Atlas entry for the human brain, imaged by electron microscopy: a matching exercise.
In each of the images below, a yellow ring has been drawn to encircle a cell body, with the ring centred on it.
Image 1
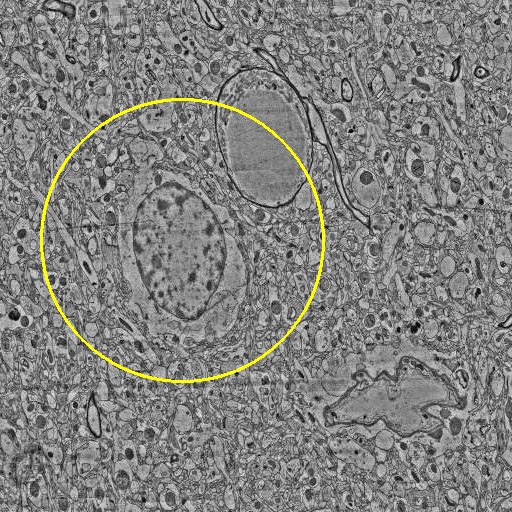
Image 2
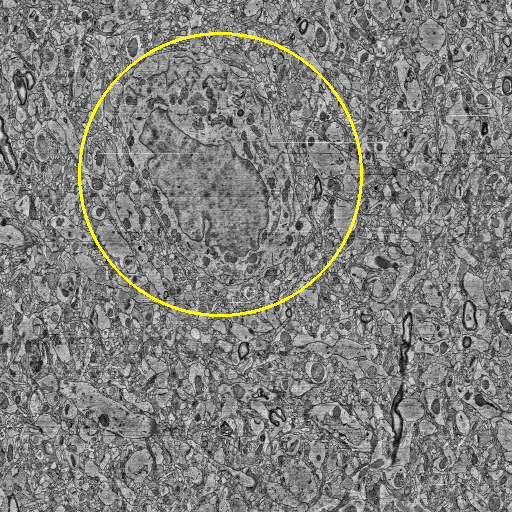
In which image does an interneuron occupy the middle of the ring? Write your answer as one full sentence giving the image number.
In image 2, the ring is centred on the cell in question.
